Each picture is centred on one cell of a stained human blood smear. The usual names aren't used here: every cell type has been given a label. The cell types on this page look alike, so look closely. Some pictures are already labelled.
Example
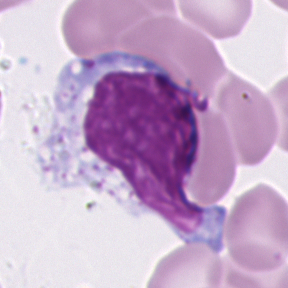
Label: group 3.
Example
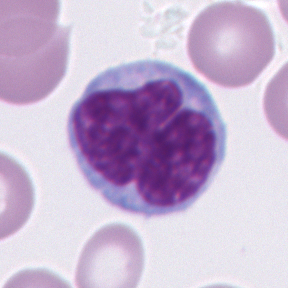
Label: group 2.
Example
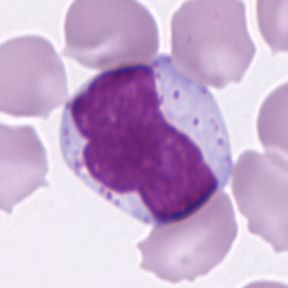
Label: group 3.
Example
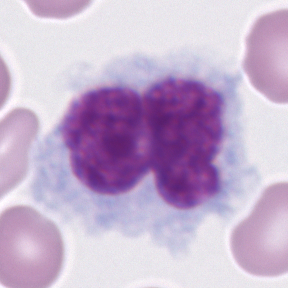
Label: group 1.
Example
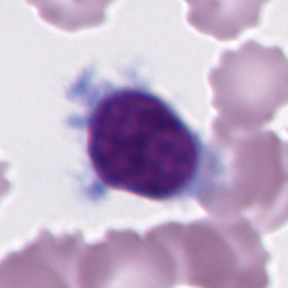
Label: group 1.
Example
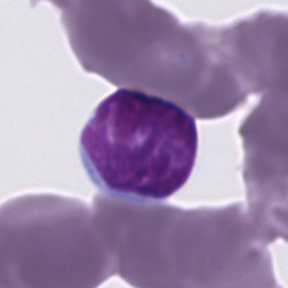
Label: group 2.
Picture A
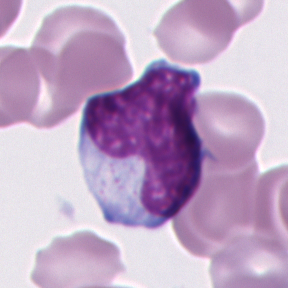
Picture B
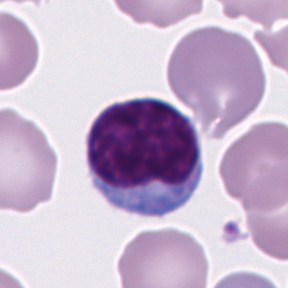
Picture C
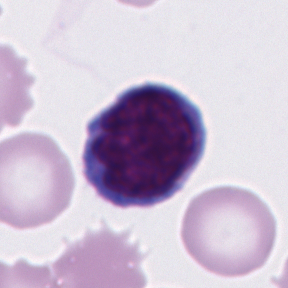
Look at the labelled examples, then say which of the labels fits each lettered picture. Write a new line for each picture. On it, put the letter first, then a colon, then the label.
A: group 3.
B: group 2.
C: group 2.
